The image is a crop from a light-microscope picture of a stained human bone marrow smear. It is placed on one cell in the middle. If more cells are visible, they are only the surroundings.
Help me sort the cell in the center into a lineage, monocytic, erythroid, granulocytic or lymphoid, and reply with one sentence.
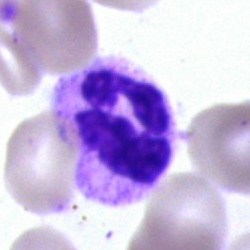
The lineage to which the central cell belongs is granulocytic.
